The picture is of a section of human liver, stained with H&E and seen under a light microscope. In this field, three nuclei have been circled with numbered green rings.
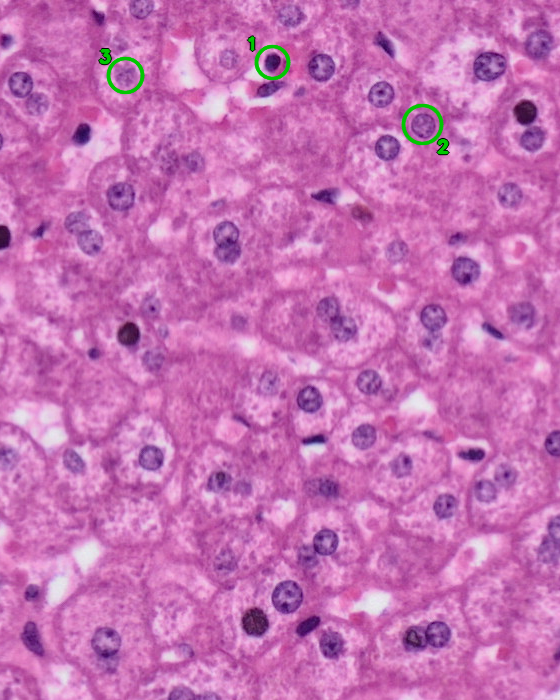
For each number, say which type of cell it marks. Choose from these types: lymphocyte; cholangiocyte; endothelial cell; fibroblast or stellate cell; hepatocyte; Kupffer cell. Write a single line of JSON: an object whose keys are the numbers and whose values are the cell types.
{"1": "lymphocyte", "2": "hepatocyte", "3": "hepatocyte"}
